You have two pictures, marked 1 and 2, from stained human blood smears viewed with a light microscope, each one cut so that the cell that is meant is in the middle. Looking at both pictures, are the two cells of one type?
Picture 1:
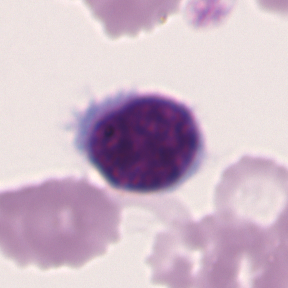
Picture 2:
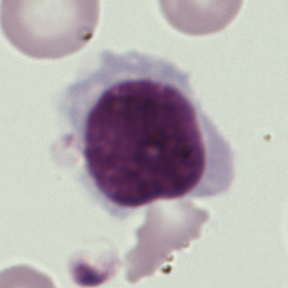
yes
